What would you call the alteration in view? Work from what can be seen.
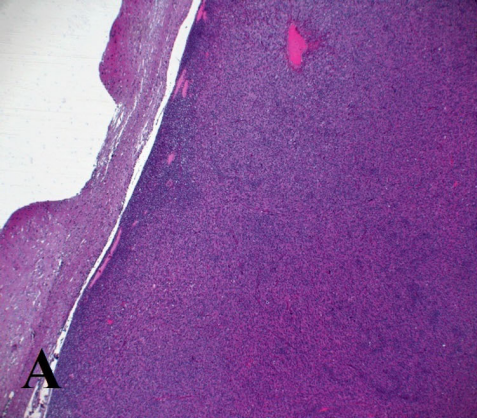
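Delimited tumor. A dense, dark blue cellular mass fills most of the field. A sharp border separates it from paler, less cellular tissue at the left edge.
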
